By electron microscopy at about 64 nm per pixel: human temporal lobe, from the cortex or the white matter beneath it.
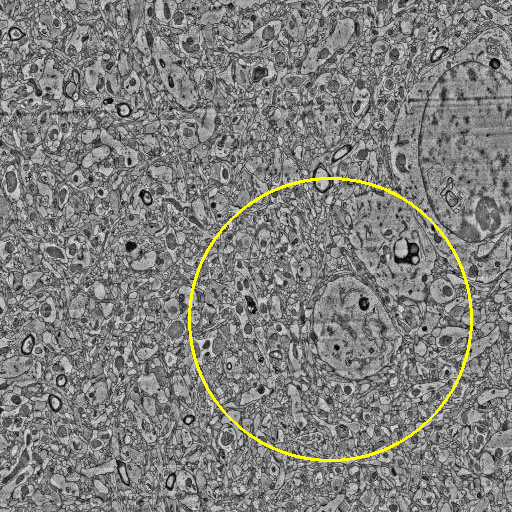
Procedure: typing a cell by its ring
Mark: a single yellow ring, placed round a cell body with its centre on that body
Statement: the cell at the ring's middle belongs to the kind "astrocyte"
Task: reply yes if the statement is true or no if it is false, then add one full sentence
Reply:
No, this is false: the cell at the ring's centre in the picture belongs to some other kind.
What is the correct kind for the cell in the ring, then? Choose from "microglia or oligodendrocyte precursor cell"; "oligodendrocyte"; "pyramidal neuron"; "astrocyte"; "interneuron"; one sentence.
That cell in the ring is an interneuron instead.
